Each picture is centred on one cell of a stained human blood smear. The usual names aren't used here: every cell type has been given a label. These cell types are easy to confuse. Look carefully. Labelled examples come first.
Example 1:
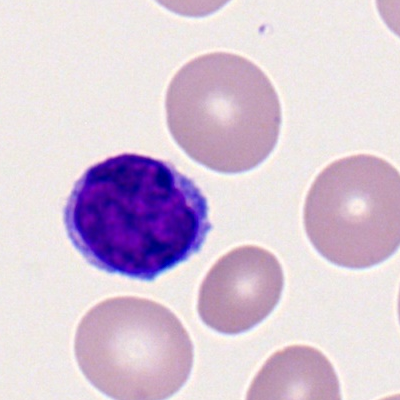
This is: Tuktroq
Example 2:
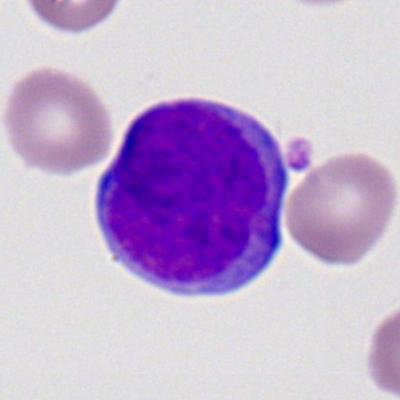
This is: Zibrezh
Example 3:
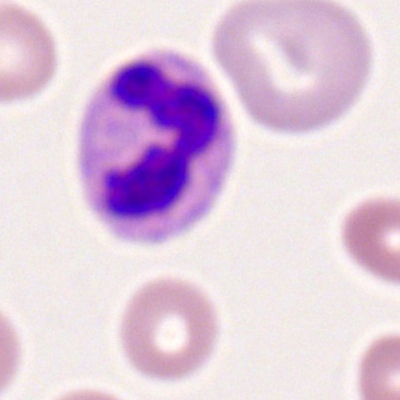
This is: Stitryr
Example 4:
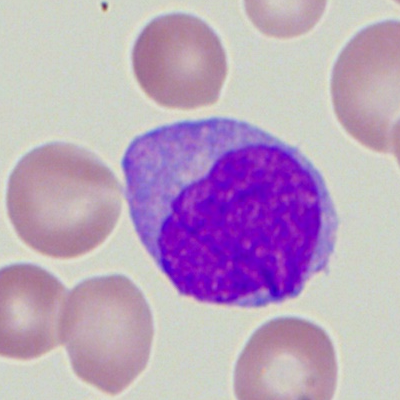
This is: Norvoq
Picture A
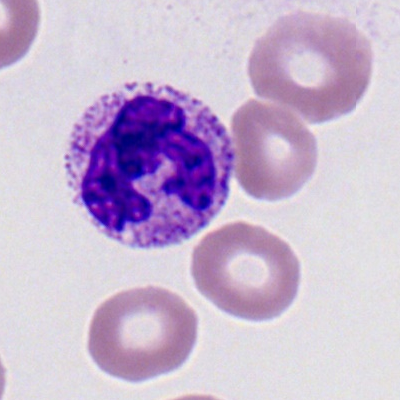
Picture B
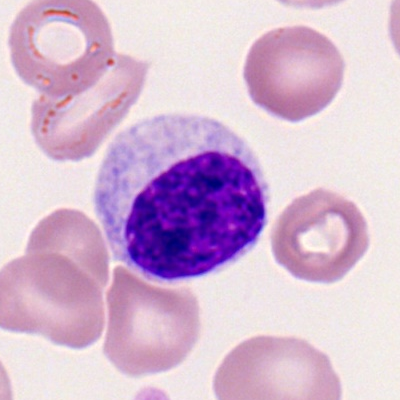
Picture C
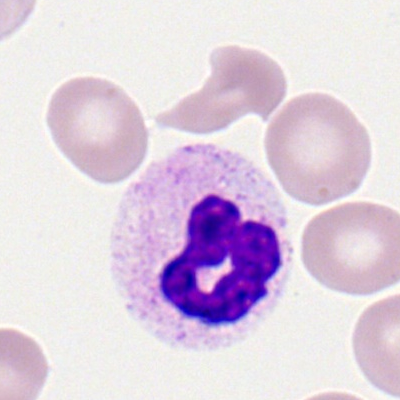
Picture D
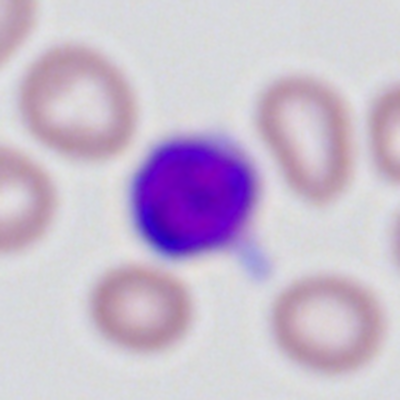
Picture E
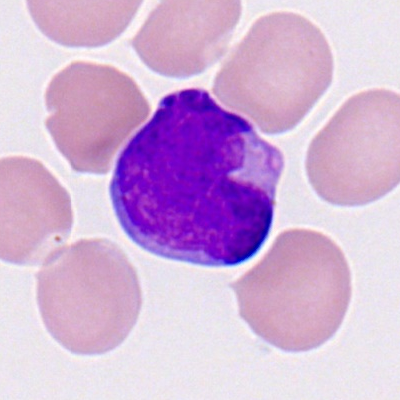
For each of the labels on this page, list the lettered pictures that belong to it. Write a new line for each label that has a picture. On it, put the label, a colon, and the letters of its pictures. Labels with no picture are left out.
Tuktroq: B, D
Zibrezh: E
Stitryr: A, C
